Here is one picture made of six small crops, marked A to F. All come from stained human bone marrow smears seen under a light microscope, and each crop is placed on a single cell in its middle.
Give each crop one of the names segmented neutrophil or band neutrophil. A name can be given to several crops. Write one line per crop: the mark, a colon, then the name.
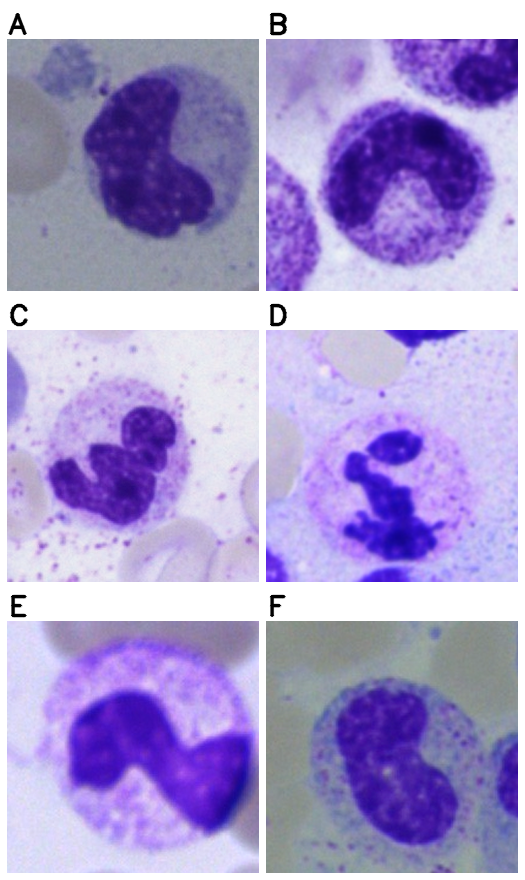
A: band neutrophil
B: band neutrophil
C: segmented neutrophil
D: segmented neutrophil
E: band neutrophil
F: band neutrophil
